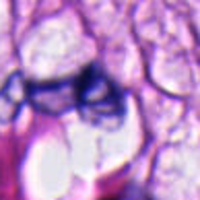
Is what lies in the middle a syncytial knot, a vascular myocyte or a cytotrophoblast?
It is a vascular myocyte.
